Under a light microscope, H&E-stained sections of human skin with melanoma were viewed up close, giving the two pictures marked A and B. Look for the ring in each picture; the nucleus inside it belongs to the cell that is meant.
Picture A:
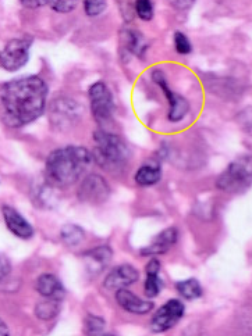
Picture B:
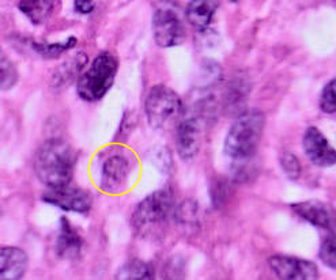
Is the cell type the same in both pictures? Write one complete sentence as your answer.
No, they differ: the cell is a “macrophage or monocyte” in picture A and a melanoma cell in picture B.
